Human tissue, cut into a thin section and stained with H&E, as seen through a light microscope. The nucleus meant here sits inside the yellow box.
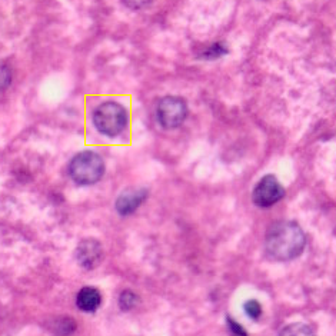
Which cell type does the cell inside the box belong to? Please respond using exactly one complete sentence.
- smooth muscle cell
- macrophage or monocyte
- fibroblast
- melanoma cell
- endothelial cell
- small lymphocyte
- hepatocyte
It is as a hepatocyte that the cell inside the box is classified.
